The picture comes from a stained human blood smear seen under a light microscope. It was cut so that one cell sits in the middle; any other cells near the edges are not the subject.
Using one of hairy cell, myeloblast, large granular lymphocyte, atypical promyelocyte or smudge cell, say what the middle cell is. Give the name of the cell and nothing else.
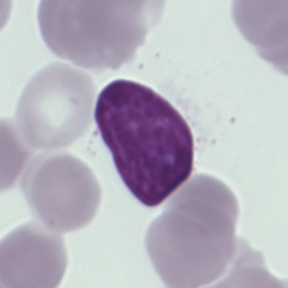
smudge cell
